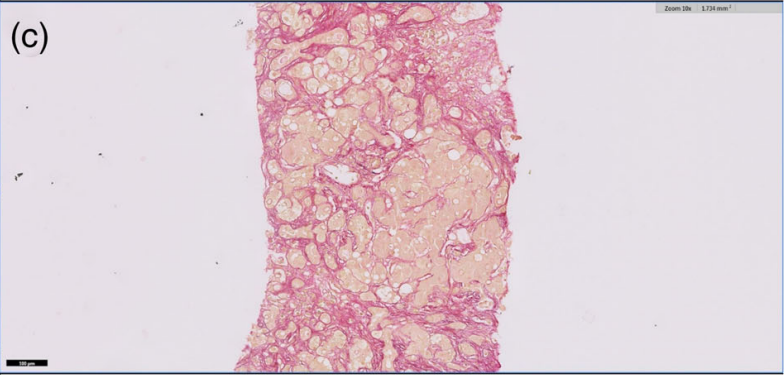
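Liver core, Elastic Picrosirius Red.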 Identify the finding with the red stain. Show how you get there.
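Red-stained strands run throughout the core. The red strands encircle pale yellow islands of liver tissue into nodules.
Hence: advanced fibrosis.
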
